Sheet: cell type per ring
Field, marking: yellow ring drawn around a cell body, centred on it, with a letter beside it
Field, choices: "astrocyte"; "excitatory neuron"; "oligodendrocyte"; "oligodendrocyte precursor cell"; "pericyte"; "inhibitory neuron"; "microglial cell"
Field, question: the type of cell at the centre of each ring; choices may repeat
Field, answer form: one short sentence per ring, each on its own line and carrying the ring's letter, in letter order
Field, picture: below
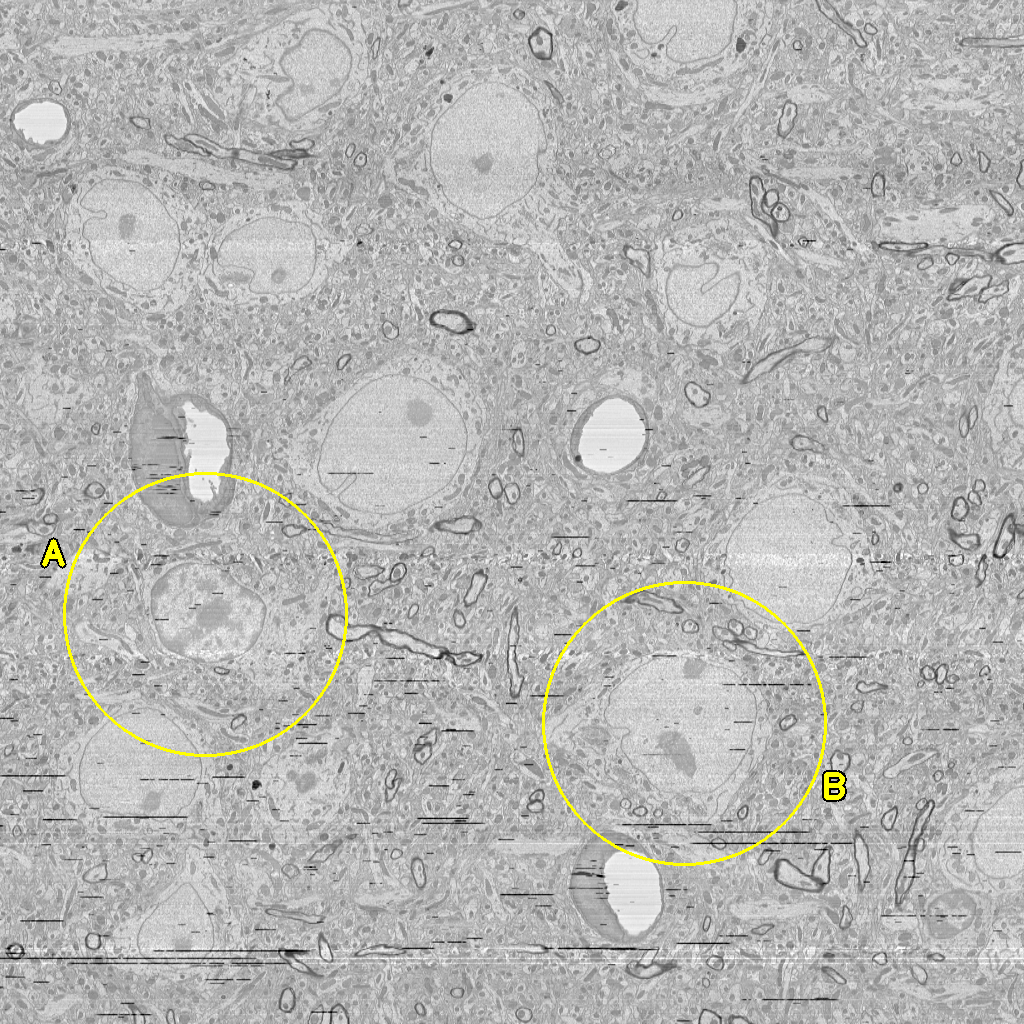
The cell body inside ring A, at its centre, is an oligodendrocyte.
The cell body inside ring B, at its centre, is an excitatory neuron.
